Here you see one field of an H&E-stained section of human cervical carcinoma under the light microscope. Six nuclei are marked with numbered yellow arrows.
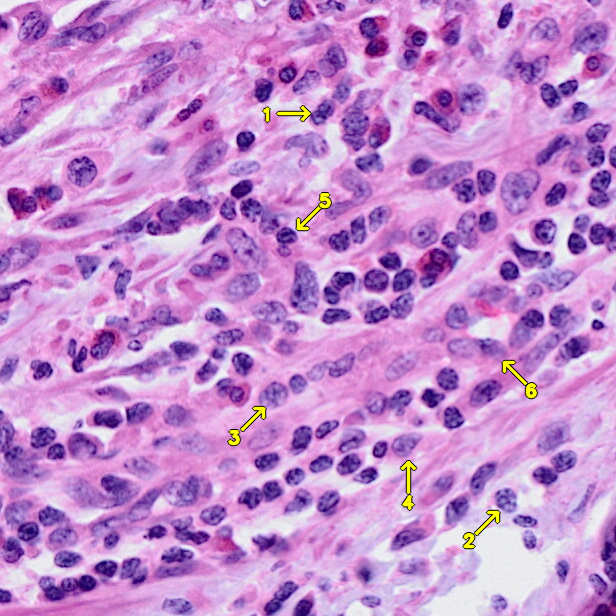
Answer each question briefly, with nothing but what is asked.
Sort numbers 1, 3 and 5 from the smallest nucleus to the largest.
5, 1, 3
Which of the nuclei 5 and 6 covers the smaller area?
5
